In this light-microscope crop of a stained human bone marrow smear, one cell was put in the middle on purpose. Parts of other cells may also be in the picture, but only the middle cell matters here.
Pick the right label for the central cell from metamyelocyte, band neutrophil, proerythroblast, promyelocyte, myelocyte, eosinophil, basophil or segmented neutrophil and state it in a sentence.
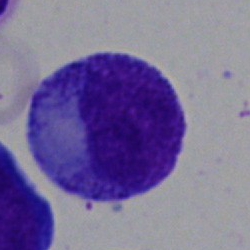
The cell positioned in the middle of the field is a promyelocyte.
